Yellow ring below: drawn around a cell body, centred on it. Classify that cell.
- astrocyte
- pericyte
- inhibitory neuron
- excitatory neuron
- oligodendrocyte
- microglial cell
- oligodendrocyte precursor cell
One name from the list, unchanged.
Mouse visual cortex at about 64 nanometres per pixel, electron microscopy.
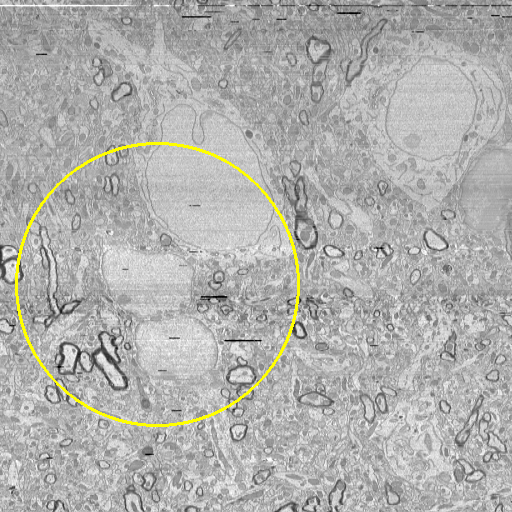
astrocyte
